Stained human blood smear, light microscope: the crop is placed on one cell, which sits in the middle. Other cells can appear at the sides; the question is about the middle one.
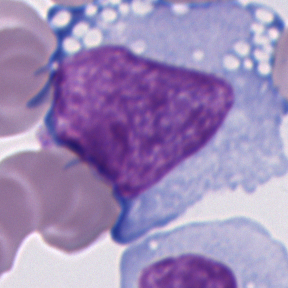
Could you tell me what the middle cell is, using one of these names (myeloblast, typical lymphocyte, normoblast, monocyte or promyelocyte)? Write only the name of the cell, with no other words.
myeloblast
